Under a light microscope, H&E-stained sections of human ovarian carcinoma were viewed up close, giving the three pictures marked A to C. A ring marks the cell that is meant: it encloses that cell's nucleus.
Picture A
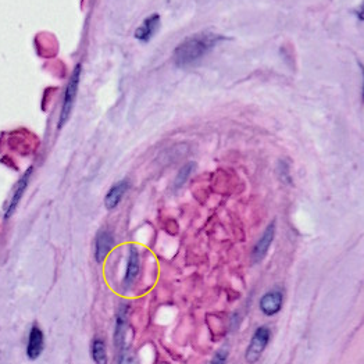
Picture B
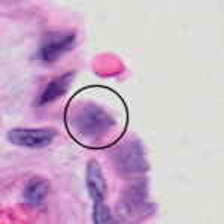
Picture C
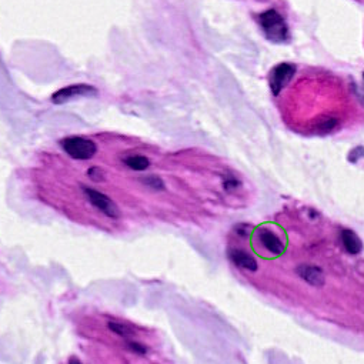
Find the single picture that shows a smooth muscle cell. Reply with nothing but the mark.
C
